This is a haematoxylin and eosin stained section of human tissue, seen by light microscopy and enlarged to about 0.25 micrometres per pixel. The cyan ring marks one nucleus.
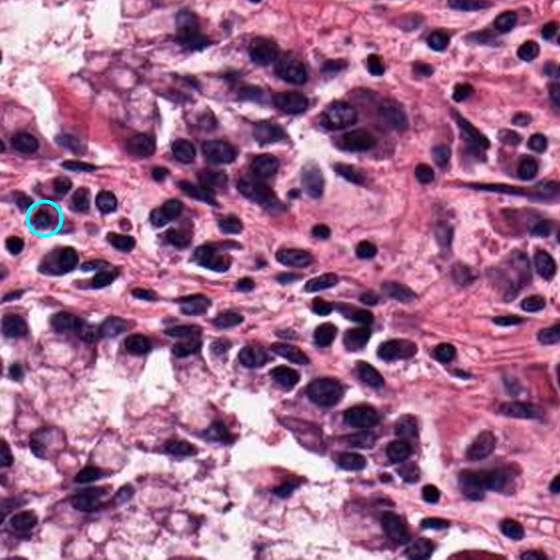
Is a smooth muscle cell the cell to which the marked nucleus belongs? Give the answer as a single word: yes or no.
no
